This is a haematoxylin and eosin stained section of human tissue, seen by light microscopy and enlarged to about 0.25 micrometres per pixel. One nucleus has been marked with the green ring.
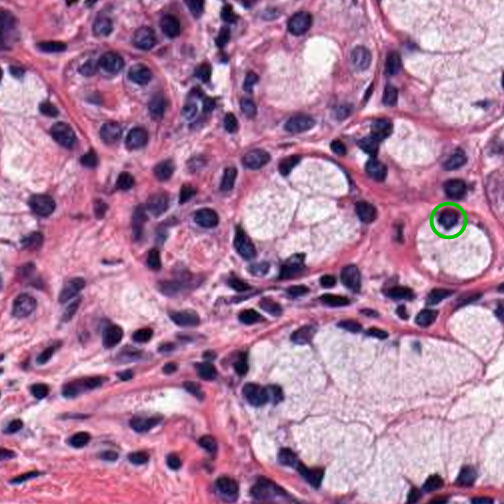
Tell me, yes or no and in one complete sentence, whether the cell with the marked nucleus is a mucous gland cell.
Yes, the marked nucleus is located in a mucous gland cell.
